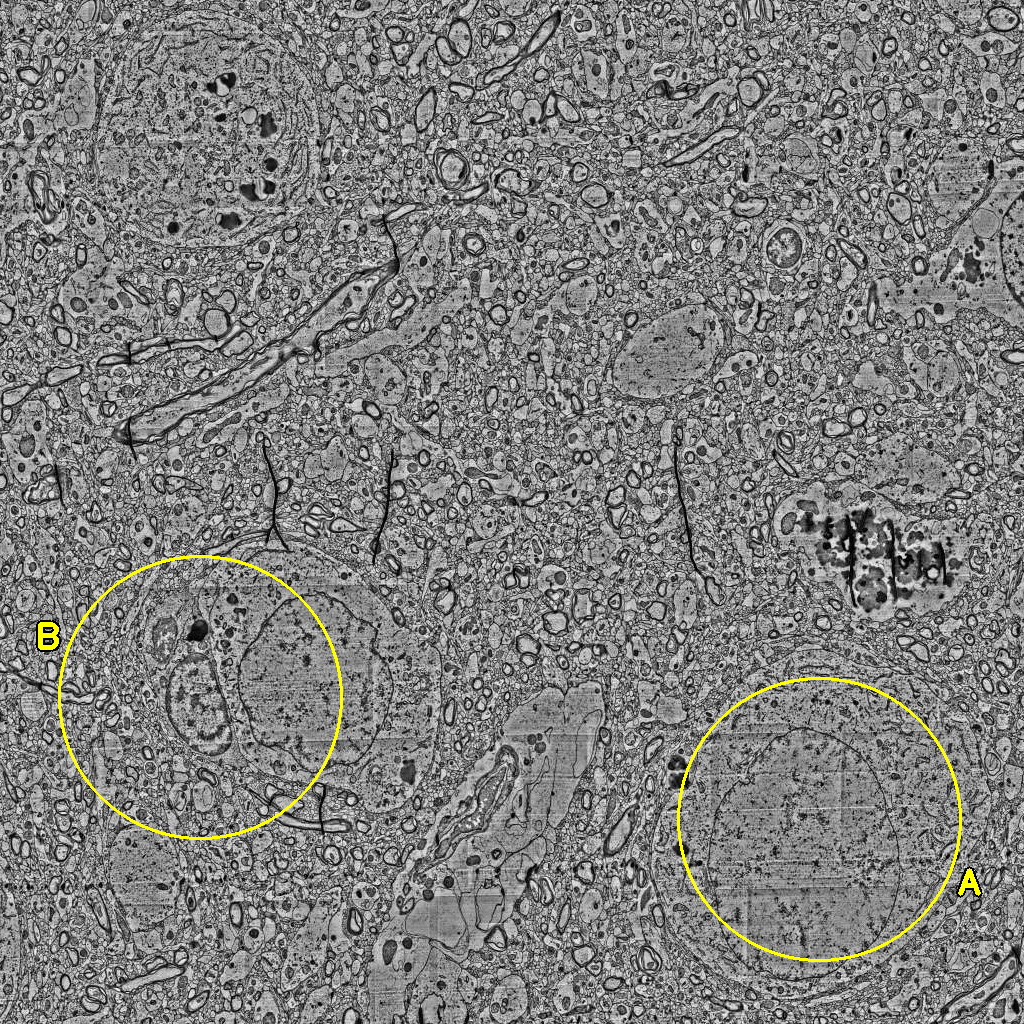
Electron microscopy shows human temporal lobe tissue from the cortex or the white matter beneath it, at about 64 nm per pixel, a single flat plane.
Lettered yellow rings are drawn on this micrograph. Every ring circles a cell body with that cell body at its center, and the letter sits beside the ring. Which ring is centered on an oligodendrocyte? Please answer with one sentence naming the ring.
Ring B has it at its center.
